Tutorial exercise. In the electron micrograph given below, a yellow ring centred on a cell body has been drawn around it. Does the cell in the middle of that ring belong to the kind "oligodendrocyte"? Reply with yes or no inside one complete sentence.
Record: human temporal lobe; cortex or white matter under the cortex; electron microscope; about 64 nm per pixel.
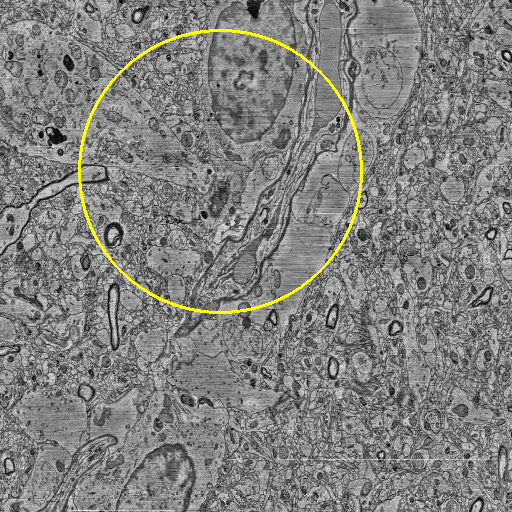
Yes, the cell at the centre of the ring in the picture is of that kind.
